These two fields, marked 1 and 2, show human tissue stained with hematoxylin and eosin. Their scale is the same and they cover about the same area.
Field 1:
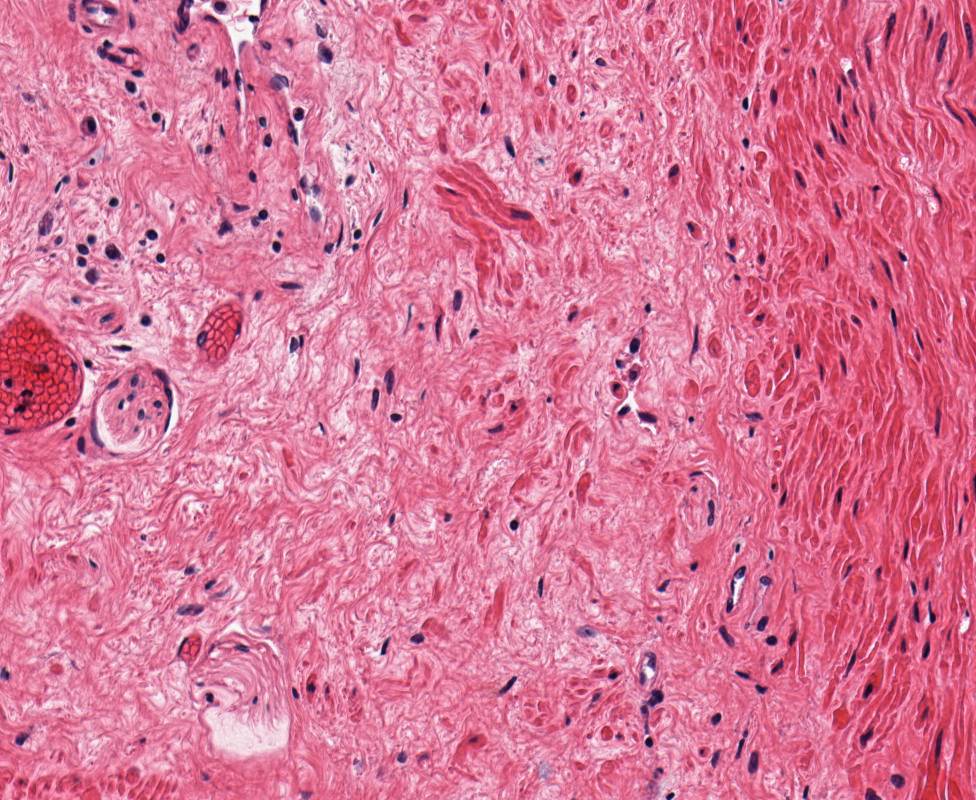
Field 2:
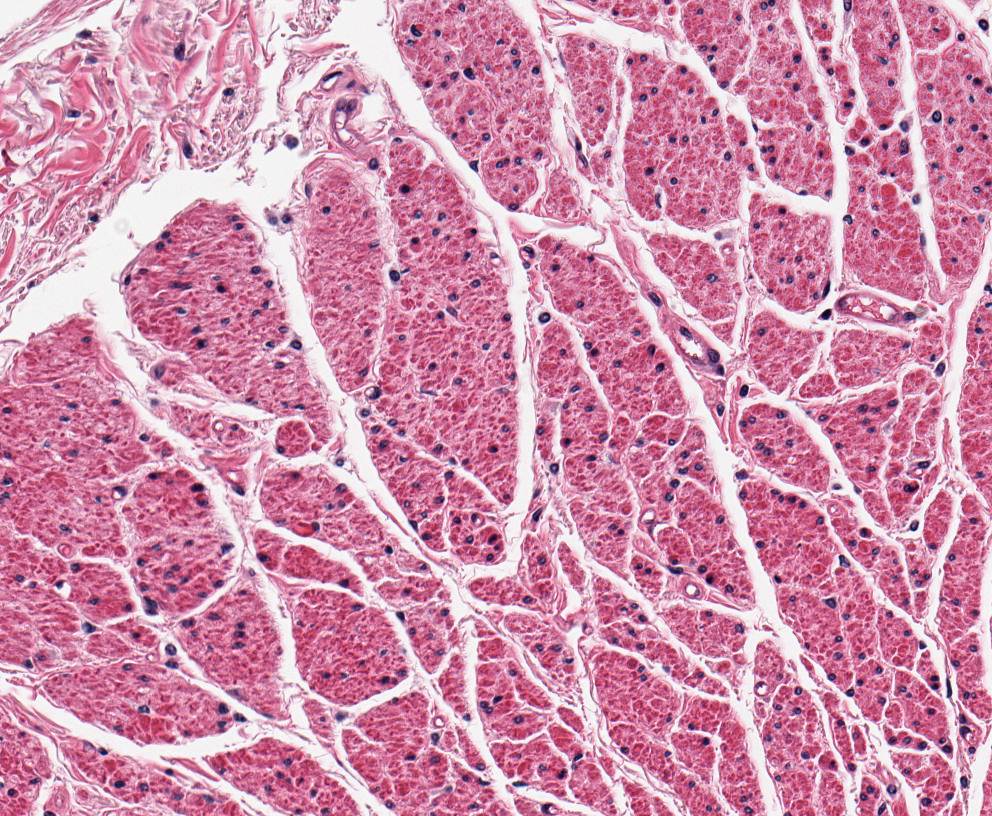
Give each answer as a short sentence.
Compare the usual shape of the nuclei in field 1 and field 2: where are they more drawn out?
It is field 1 whose nuclei are the more elongated.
